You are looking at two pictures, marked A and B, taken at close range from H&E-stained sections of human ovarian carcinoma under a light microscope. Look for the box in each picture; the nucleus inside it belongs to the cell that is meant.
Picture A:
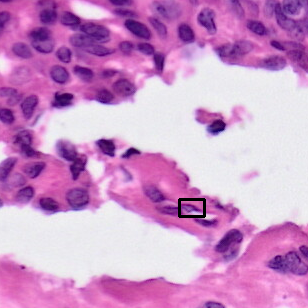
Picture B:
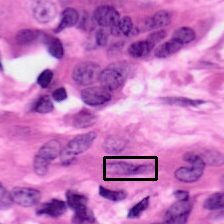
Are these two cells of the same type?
yes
